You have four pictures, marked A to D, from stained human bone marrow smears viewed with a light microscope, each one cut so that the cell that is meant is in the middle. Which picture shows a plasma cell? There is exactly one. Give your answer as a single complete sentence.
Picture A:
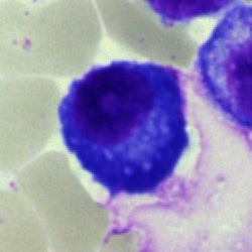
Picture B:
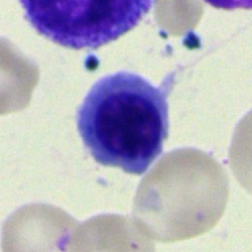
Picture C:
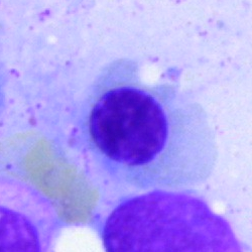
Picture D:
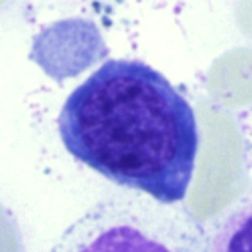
Picture A is the one that shows the plasma cell.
